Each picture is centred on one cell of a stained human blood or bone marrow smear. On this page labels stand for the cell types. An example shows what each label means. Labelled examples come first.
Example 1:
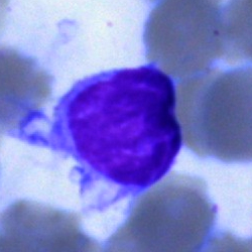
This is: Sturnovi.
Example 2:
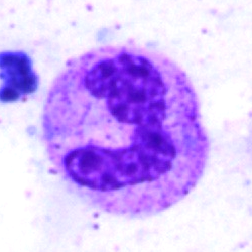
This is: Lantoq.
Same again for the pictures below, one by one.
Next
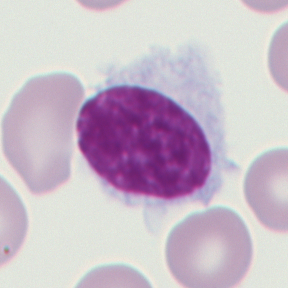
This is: Sturnovi.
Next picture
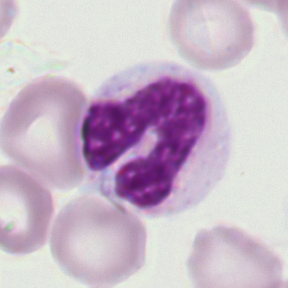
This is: Lantoq.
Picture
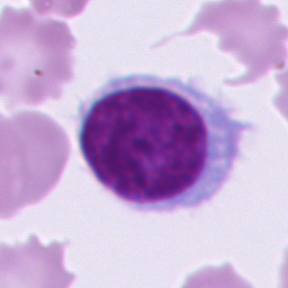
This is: Sturnovi.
